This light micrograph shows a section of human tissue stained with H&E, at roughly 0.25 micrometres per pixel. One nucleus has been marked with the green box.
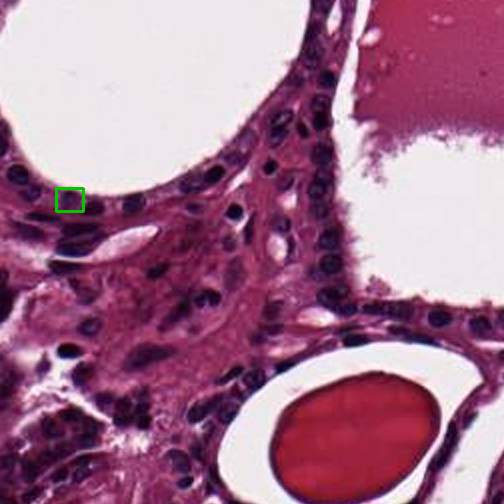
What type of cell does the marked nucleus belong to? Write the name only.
thyroid follicular cell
